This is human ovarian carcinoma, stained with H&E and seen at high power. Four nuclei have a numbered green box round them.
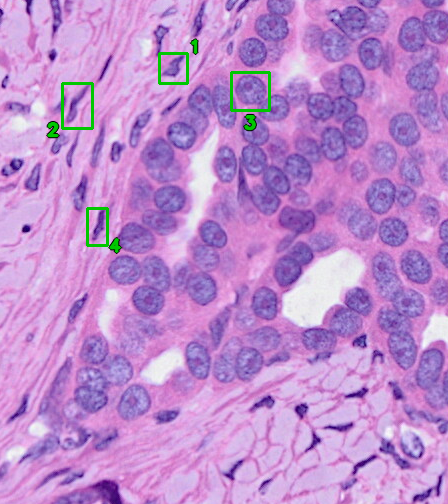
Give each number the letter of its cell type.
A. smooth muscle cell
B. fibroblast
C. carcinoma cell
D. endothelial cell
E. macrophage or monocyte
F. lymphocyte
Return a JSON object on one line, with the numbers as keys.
{"1": "B", "2": "B", "3": "C", "4": "B"}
